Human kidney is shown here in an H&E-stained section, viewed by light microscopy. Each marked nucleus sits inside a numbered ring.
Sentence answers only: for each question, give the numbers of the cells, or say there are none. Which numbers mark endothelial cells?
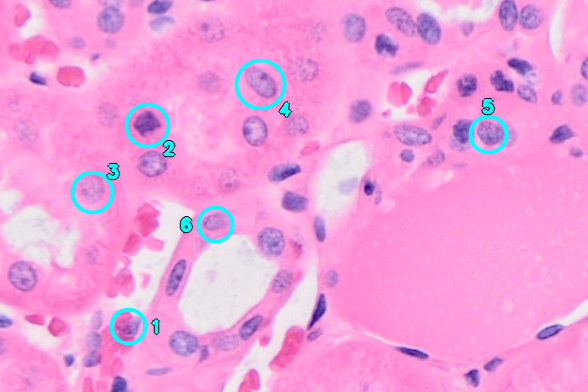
The only cell among those numbered to be an endothelial cell is number 1.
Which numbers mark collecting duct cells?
The cells the numbers 5 and 6 point to are collecting duct cells.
